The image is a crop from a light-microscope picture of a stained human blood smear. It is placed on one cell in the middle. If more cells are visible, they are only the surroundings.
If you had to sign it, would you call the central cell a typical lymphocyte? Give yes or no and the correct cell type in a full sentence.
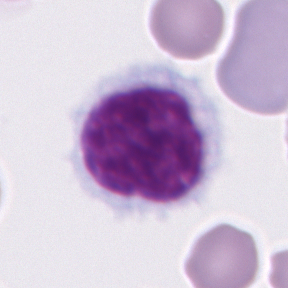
No, the central cell does not count as a typical lymphocyte; it is a hairy cell.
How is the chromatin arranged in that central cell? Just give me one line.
Its nuclear chromatin is gathered into coarse clumps.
